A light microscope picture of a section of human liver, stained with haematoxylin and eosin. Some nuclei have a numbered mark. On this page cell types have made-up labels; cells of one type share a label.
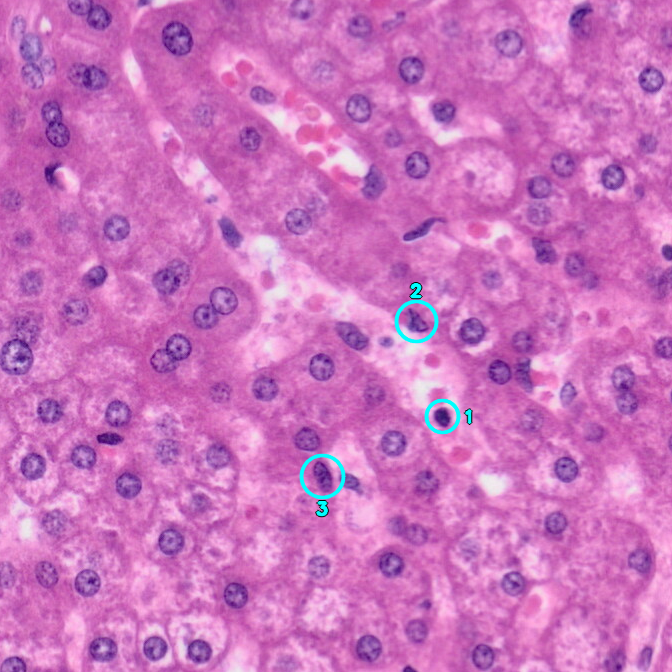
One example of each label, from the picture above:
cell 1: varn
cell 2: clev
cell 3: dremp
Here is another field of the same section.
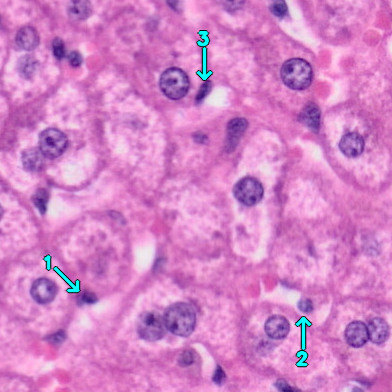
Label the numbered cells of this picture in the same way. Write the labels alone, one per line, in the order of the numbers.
clev
varn
dremp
